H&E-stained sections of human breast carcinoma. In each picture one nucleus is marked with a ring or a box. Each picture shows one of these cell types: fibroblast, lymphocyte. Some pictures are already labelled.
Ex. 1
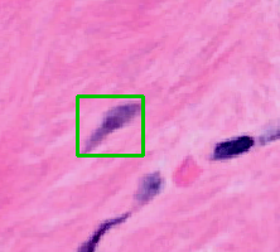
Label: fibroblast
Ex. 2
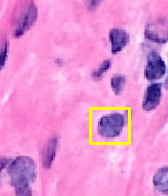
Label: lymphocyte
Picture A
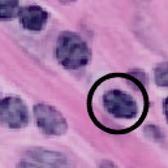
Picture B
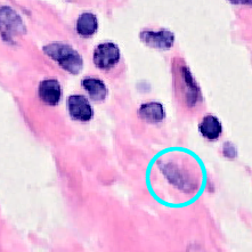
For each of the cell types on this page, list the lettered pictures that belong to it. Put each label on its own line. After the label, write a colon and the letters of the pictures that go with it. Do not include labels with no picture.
fibroblast: B
lymphocyte: A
